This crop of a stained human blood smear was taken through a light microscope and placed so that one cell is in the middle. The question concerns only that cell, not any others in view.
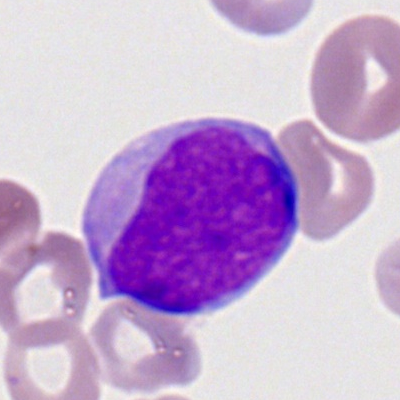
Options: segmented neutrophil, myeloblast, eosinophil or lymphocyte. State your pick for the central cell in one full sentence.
The cell in the middle of the field of view is a myeloblast.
